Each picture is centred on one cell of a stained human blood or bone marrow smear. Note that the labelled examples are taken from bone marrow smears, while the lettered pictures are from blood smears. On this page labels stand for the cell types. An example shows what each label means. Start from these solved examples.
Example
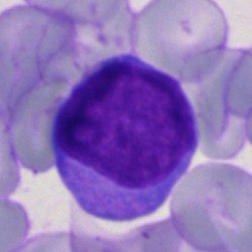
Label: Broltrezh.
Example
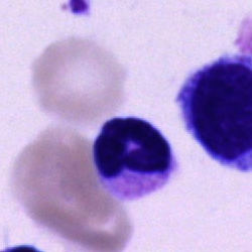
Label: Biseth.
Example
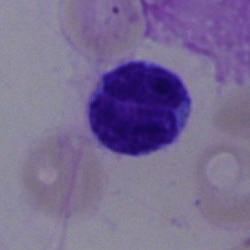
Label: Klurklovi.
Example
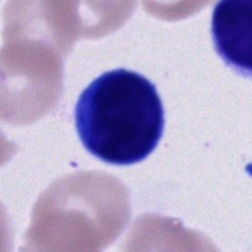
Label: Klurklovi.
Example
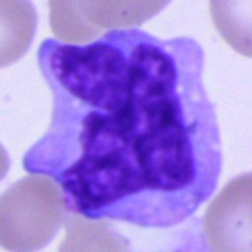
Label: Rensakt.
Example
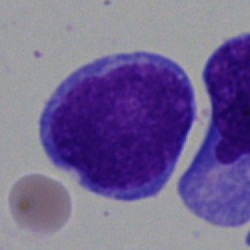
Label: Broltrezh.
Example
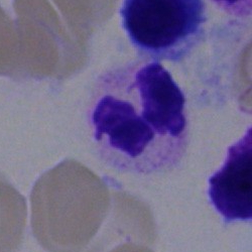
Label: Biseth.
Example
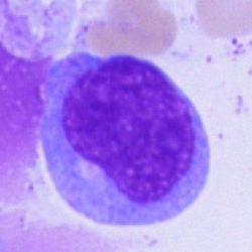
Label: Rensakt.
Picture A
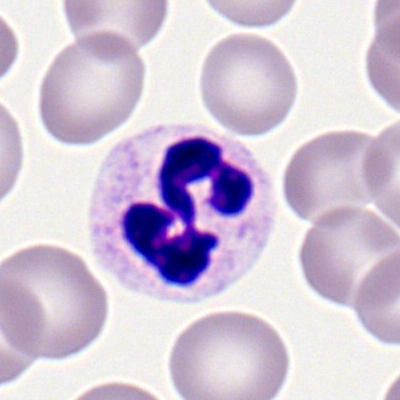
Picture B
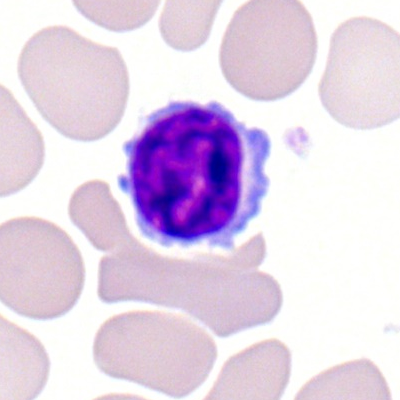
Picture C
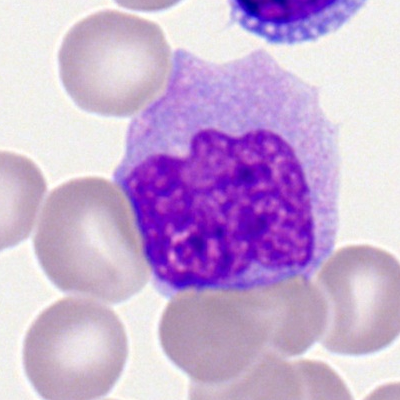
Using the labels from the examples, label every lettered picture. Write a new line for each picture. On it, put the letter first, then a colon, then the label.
A: Biseth.
B: Klurklovi.
C: Rensakt.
